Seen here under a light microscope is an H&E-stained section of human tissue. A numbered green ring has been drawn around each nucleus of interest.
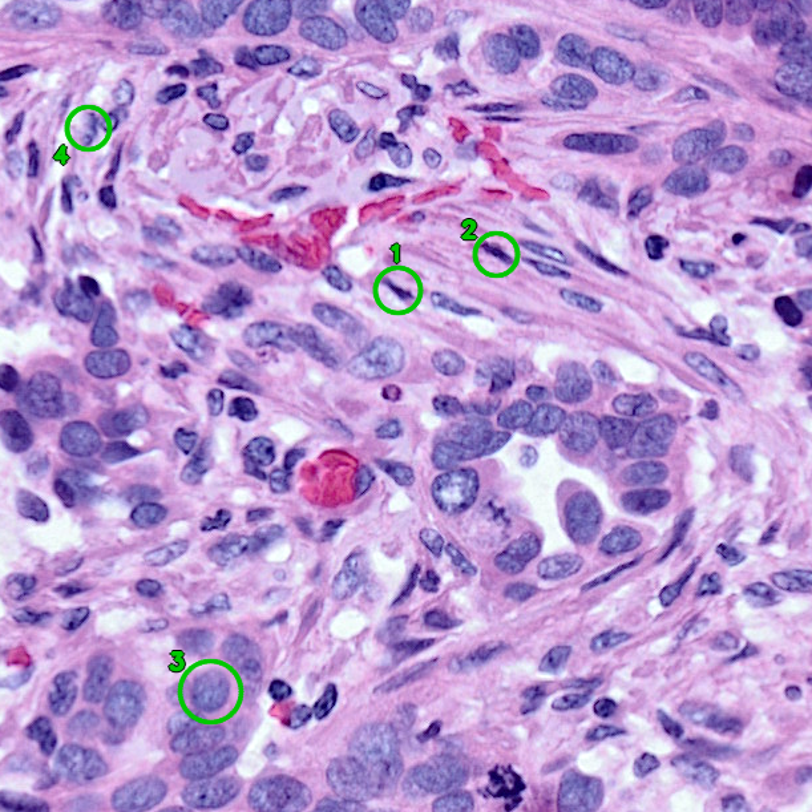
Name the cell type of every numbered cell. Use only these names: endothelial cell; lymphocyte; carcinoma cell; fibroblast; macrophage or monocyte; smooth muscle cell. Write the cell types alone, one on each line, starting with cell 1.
fibroblast
fibroblast
carcinoma cell
fibroblast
